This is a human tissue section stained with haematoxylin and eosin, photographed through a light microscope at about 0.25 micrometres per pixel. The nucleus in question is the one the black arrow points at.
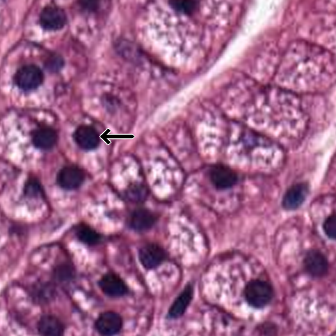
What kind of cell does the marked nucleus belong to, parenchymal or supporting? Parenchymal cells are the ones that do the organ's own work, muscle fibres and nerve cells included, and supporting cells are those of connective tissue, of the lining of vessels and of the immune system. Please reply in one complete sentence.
The nucleus that is marked belongs to a parenchymal cell, namely an adrenal cortical cell.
